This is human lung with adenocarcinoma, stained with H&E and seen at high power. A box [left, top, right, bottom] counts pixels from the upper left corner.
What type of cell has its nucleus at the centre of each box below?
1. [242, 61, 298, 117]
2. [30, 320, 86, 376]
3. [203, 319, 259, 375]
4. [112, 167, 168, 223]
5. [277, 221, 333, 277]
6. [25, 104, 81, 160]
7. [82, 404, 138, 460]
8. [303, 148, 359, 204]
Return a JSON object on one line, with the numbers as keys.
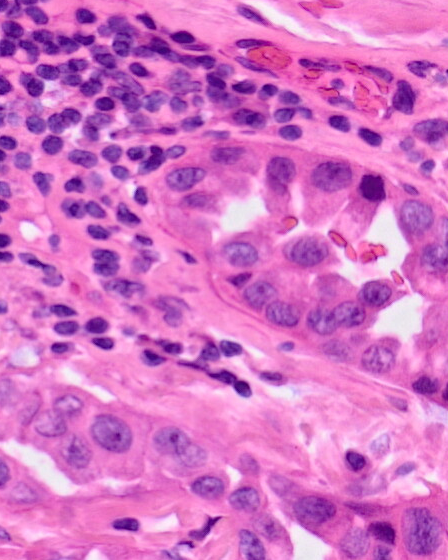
{"1": "lymphocyte", "2": "lymphocyte", "3": "lymphocyte", "4": "lymphocyte", "5": "carcinoma cell", "6": "lymphocyte", "7": "carcinoma cell", "8": "carcinoma cell"}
